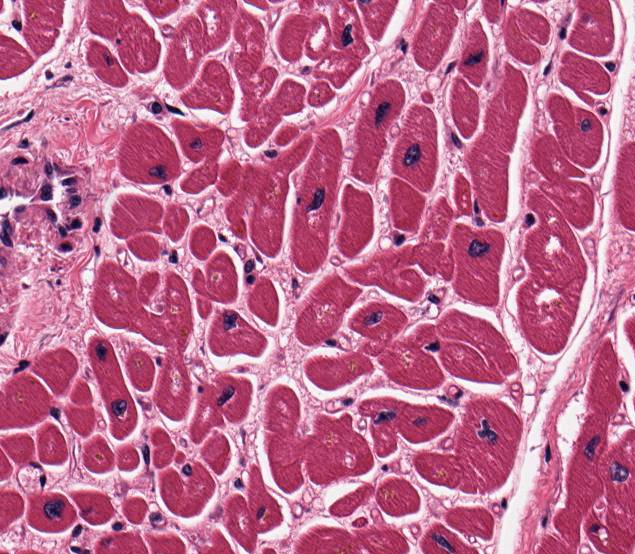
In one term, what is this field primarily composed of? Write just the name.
myocardium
